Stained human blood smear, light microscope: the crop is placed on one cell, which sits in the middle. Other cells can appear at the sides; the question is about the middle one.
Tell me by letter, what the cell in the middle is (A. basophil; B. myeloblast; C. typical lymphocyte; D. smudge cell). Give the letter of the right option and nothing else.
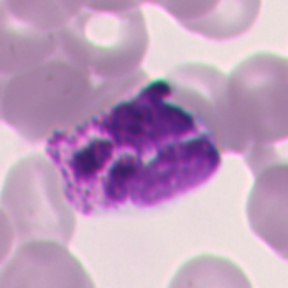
A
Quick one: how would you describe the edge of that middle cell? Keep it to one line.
A ragged or projecting edge replaces the smooth outline in this cell.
